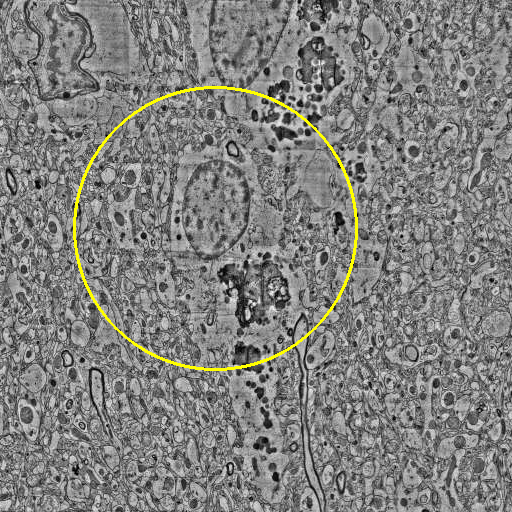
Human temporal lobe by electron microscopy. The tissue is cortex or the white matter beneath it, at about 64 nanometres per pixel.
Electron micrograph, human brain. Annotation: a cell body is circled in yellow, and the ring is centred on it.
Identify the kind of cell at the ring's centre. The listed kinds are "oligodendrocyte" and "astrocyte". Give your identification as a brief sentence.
The circled cell body is that of an astrocyte.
